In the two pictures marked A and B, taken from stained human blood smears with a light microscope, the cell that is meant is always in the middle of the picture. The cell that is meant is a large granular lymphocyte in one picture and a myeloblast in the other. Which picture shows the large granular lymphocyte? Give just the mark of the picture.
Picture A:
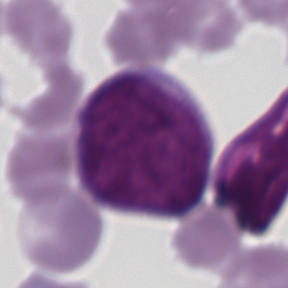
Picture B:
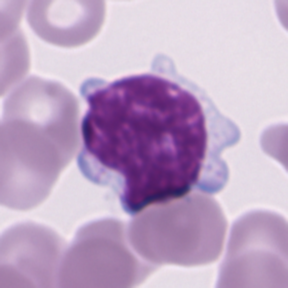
B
